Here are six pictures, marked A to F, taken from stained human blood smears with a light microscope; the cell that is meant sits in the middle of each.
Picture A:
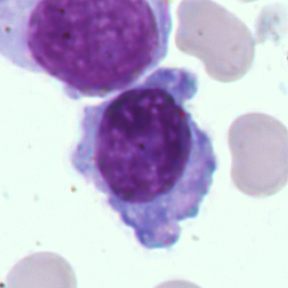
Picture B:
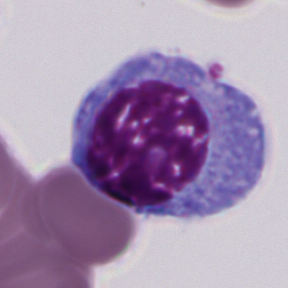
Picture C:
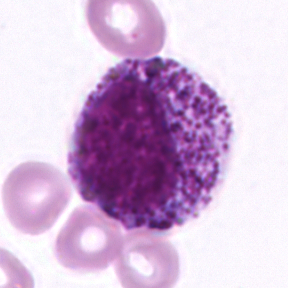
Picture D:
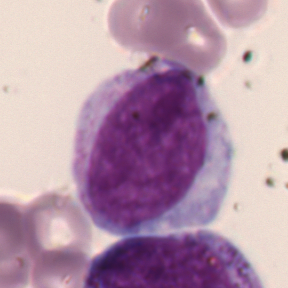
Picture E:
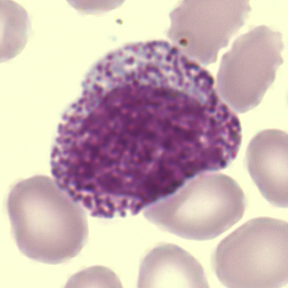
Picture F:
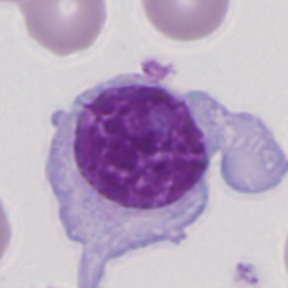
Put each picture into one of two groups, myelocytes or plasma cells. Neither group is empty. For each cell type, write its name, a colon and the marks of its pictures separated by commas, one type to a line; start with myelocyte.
myelocyte: C, D, E
plasma cell: A, B, F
